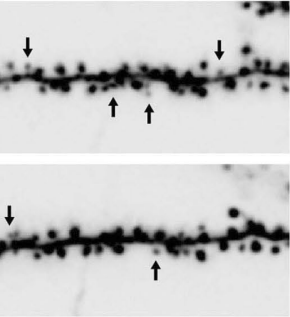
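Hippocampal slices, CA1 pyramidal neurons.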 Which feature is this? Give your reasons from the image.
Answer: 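A long thin continuous shaft runs across each image. The shaft is covered by small protrusions with round heads.
Dendritic segments.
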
